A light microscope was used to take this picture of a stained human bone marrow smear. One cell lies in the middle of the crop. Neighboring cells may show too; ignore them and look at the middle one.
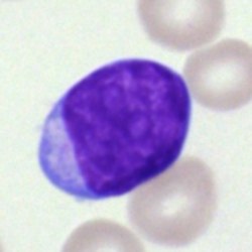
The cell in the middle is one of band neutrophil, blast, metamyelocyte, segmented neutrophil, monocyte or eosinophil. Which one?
blast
